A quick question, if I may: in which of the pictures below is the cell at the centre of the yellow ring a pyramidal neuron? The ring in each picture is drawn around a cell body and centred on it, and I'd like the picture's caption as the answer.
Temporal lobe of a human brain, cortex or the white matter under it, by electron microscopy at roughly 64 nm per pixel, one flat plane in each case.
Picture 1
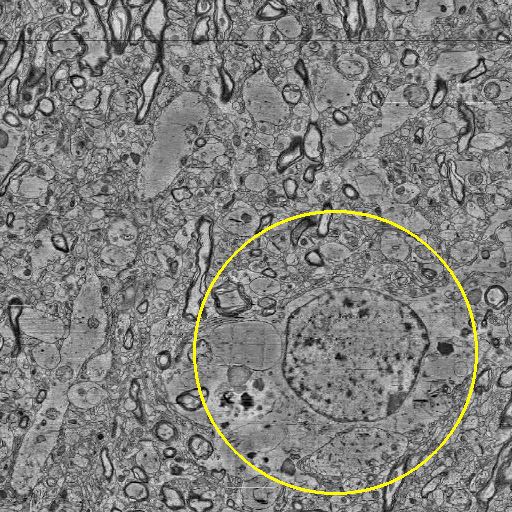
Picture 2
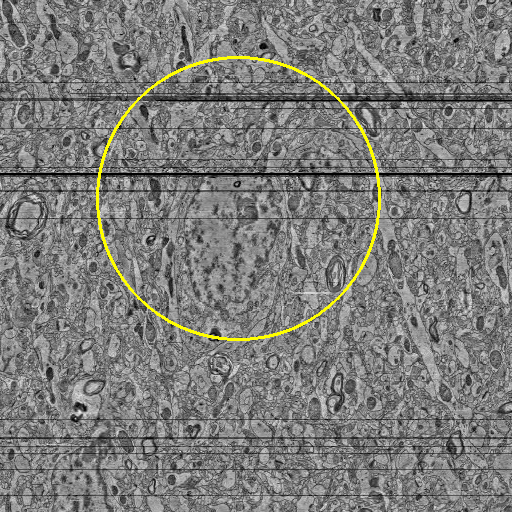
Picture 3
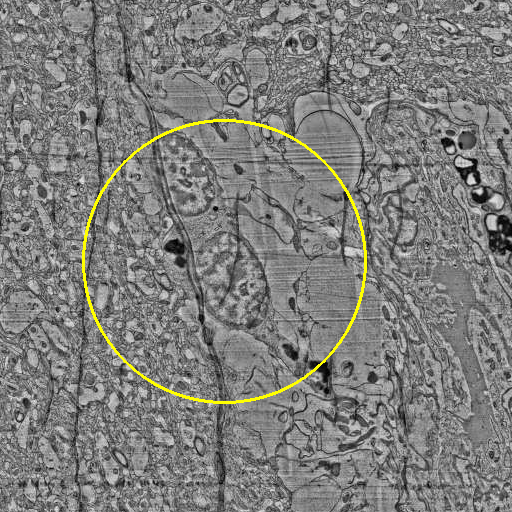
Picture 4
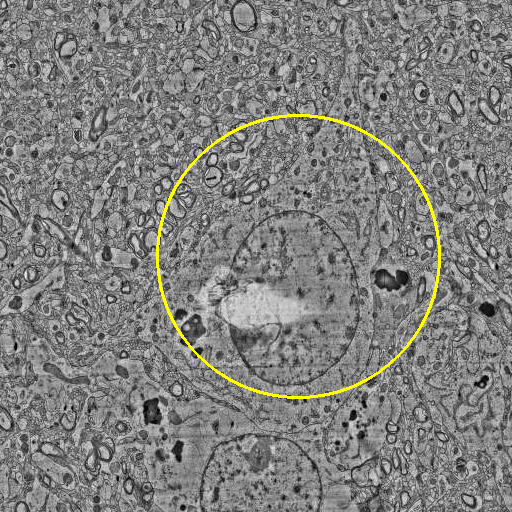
Picture 4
